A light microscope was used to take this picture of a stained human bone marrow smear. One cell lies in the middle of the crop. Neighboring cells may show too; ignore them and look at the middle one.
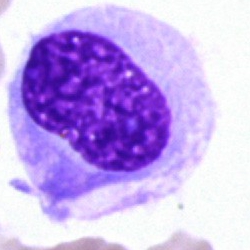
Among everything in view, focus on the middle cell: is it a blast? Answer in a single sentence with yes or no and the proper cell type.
No, that is not a blast; the middle cell is a hairy cell.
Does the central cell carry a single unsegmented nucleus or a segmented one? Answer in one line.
A single compact nucleus is present, shaped round, oval or like a kidney.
